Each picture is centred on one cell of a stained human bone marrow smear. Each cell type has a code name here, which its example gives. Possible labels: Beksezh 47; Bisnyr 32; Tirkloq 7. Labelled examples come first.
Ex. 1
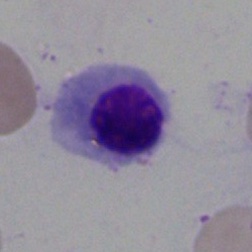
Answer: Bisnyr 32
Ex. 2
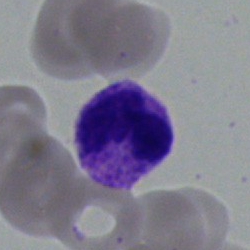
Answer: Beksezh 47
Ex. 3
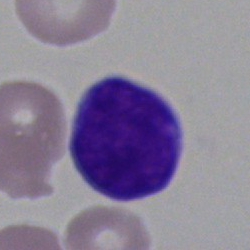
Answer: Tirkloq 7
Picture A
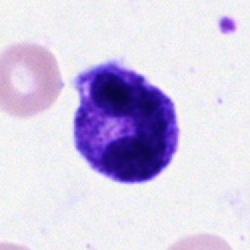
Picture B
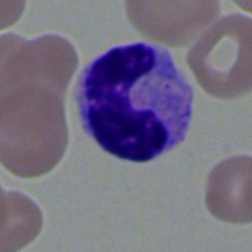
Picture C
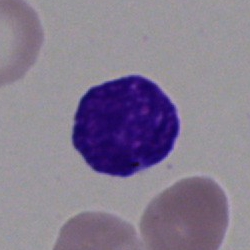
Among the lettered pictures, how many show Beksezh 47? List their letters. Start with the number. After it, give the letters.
2: A, B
